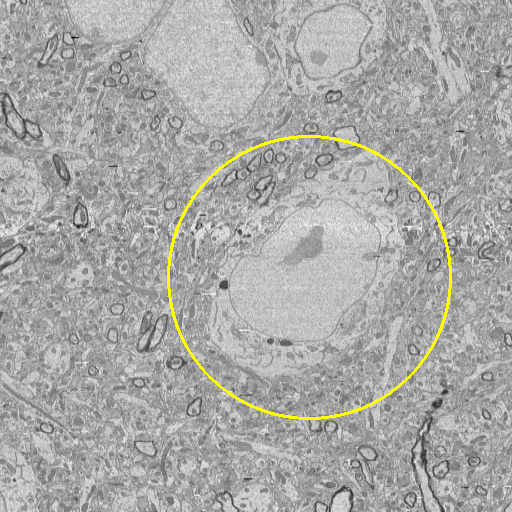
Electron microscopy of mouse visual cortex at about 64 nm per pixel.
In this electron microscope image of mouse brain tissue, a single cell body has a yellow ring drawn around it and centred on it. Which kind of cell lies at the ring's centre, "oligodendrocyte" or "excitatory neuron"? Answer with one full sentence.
It is an excitatory neuron whose cell body lies at the centre of the yellow ring here.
